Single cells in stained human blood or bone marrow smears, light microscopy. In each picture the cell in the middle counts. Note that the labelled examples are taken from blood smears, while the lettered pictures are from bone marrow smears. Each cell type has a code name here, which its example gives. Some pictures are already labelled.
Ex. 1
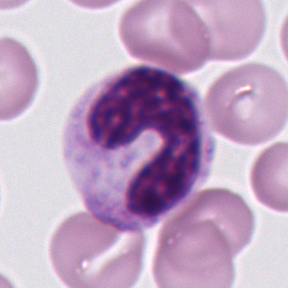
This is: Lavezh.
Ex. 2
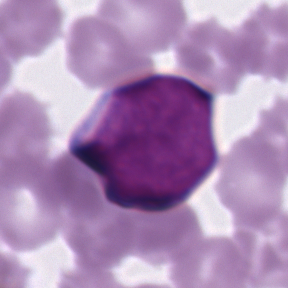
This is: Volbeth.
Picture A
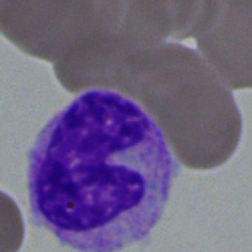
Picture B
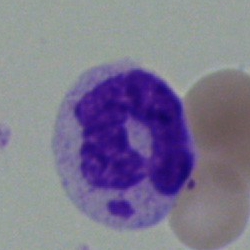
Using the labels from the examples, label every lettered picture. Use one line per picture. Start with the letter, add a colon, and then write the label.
A: Lavezh.
B: Lavezh.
